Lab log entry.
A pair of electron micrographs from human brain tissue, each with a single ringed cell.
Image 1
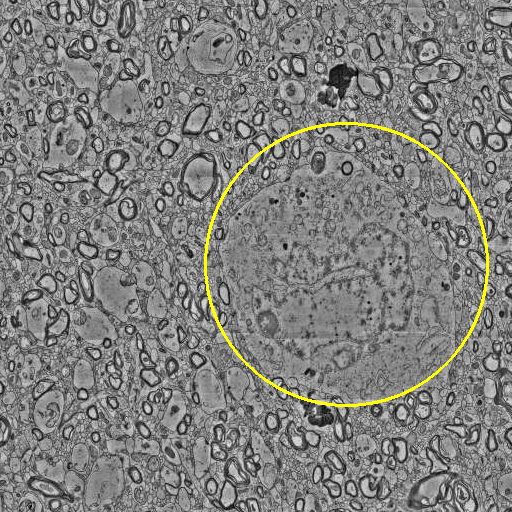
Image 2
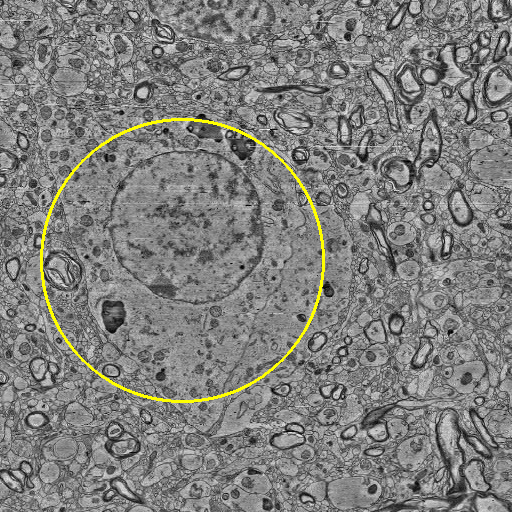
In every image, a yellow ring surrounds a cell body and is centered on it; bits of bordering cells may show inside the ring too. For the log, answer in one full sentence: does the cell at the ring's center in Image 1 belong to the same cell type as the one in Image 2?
Yes, the cells at the ring centers in Image 1 and Image 2 share one type.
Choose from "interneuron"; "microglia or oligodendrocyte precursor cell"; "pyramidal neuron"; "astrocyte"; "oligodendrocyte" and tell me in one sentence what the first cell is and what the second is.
The ring centre holds an interneuron in each of the two pictures.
